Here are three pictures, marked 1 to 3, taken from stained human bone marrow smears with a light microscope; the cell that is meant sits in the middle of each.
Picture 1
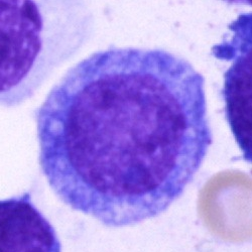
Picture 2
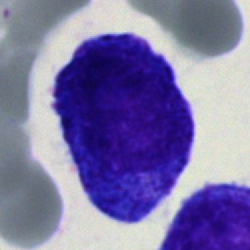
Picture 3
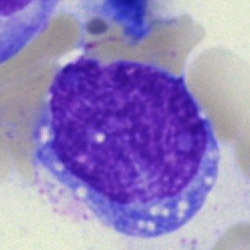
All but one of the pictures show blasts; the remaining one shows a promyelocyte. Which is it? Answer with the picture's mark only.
1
